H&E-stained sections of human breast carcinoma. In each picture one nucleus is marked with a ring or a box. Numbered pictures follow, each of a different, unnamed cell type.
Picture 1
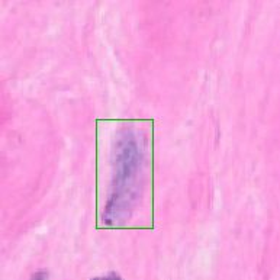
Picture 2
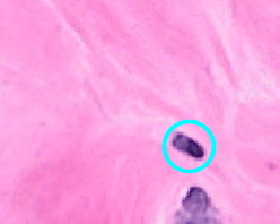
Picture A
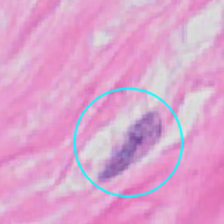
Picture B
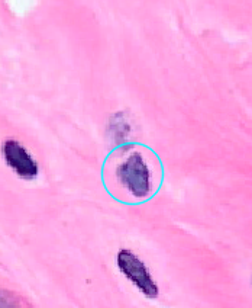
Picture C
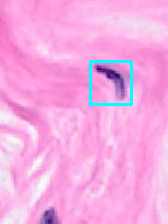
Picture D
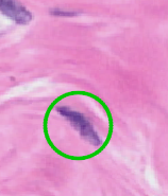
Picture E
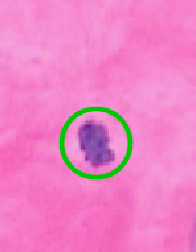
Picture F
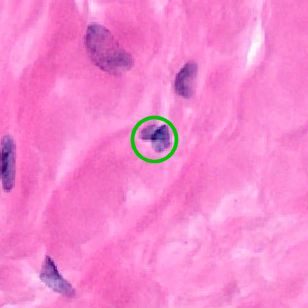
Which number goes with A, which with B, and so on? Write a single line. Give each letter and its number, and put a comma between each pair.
A 1, B 2, C 1, D 1, E 2, F 2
